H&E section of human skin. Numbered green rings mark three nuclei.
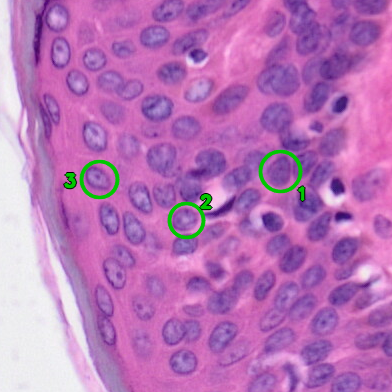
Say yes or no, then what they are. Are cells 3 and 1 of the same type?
No, cell 3 is a suprabasal keratinocyte and cell 1 is a basal keratinocyte.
